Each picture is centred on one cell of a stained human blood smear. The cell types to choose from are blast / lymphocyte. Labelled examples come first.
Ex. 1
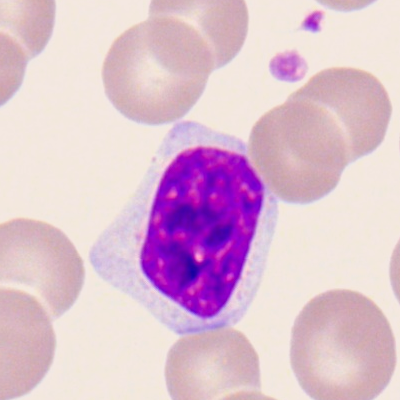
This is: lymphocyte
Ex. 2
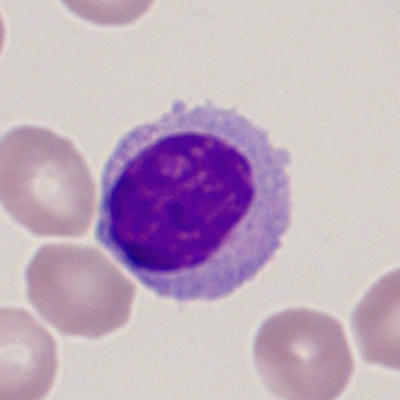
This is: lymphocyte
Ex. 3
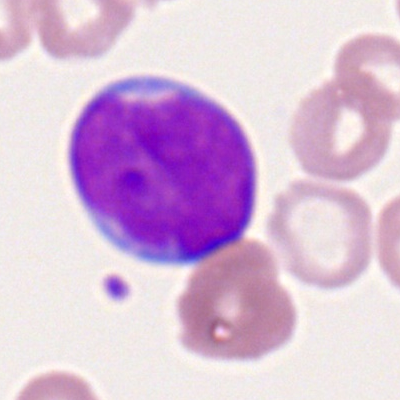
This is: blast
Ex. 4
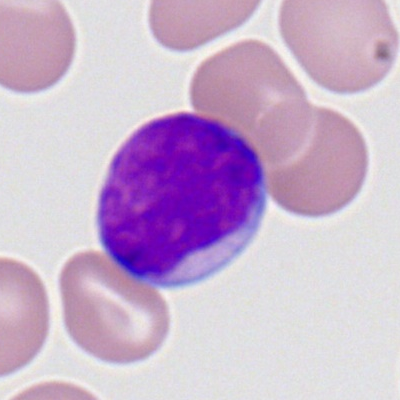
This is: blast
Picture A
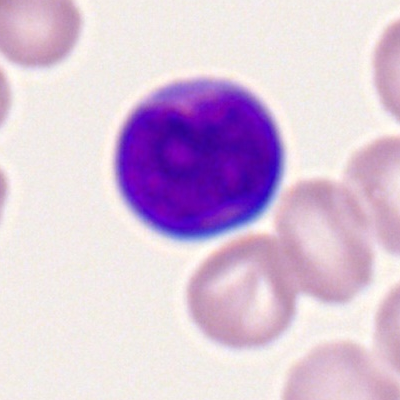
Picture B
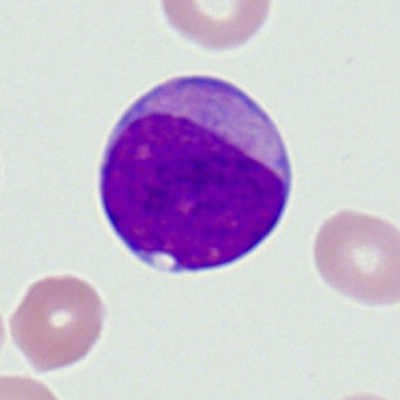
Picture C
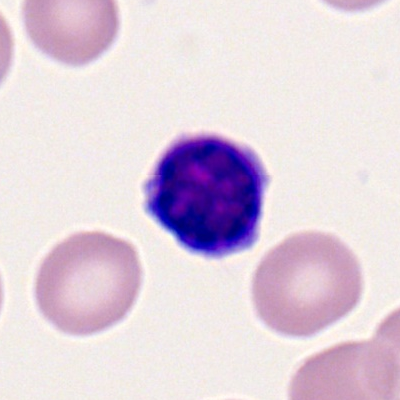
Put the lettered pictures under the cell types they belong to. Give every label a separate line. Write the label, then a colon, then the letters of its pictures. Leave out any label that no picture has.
blast: A, B
lymphocyte: C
